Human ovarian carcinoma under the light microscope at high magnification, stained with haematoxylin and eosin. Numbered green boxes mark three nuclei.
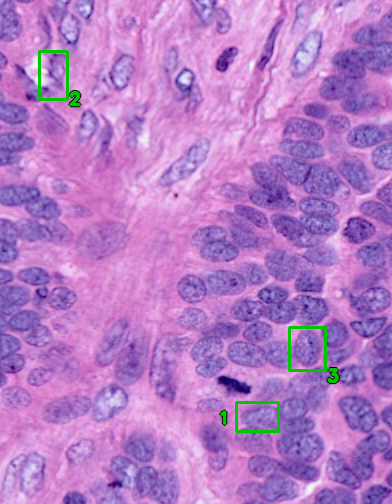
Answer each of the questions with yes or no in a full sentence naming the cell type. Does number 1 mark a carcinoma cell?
Yes, as for number 1, the cell is a carcinoma cell.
